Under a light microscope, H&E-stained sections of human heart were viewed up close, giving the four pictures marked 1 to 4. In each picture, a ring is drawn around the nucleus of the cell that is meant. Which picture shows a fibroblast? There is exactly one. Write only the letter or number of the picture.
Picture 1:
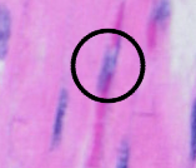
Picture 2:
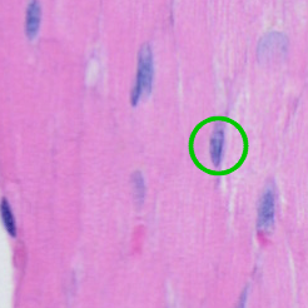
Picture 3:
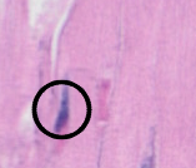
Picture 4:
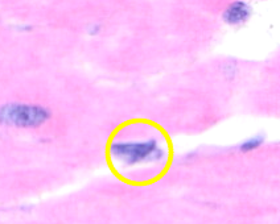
4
